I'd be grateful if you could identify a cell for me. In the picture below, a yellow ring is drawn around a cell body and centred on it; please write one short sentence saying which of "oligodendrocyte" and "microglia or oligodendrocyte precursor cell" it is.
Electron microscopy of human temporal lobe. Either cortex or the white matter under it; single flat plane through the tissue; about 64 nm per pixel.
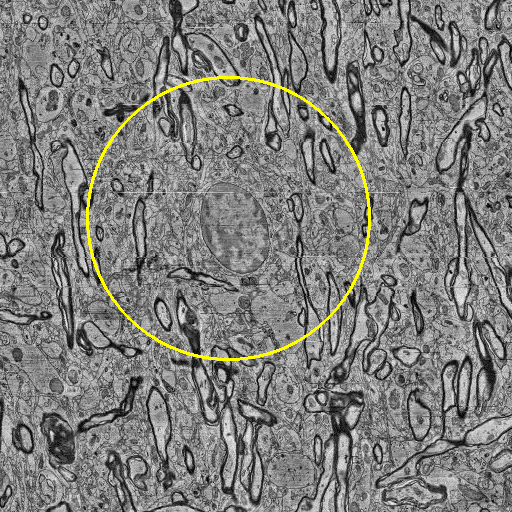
The cell under the ring's centre is a microglial cell or oligodendrocyte precursor cell.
